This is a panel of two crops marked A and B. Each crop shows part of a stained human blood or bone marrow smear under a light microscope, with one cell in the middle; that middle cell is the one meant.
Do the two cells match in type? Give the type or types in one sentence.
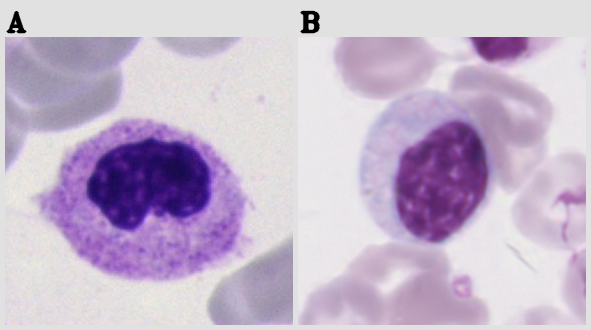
No, the cell in crop A is a band neutrophil and the one in crop B is a metamyelocyte.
